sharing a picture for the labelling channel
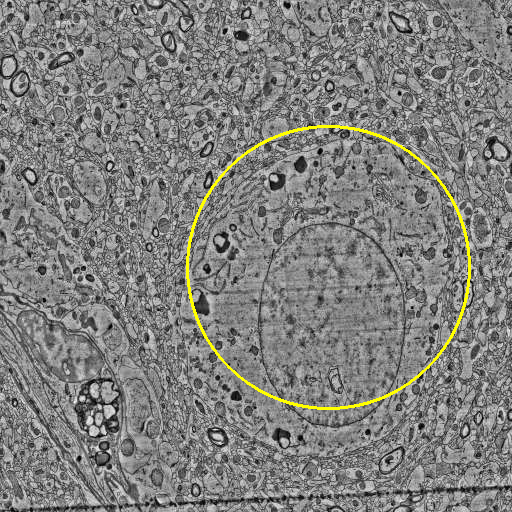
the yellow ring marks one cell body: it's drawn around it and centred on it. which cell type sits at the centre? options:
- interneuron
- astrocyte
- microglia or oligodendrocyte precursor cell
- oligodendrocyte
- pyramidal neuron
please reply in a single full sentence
In the picture, the cell at the ring's centre is a pyramidal neuron, going by the list.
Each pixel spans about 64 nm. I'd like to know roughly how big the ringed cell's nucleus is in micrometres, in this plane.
In this plane the nucleus measures roughly 13 by 9 micrometers.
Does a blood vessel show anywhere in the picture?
Yes, there is a blood vessel.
